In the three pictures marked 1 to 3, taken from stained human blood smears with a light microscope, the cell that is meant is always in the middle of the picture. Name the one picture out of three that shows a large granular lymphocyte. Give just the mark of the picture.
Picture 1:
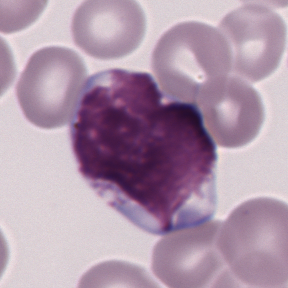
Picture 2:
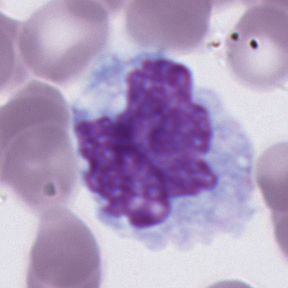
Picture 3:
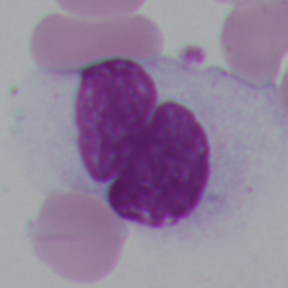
1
